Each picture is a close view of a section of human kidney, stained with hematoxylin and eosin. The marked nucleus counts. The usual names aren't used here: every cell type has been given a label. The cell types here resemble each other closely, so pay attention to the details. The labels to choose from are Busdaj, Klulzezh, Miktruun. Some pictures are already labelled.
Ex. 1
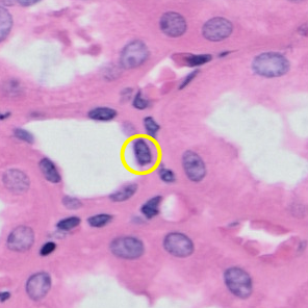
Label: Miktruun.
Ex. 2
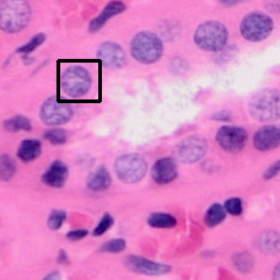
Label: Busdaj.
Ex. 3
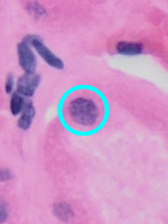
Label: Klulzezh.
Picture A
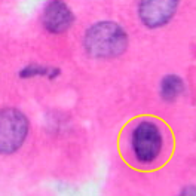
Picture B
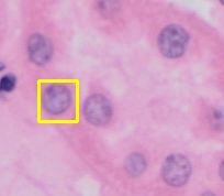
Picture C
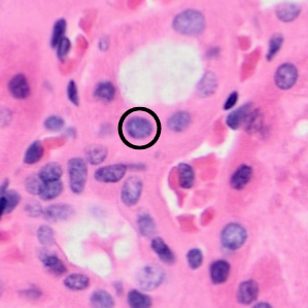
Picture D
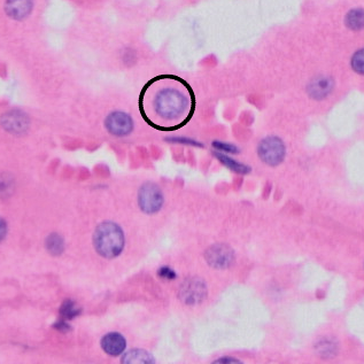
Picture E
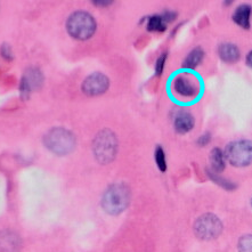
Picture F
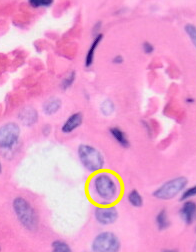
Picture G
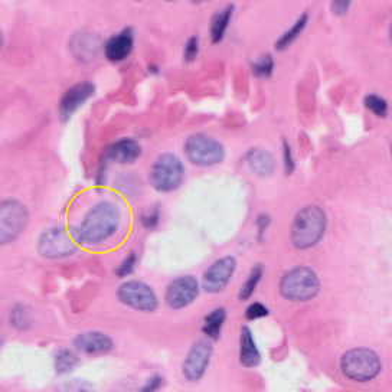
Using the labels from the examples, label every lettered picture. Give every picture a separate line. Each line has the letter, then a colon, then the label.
A: Klulzezh.
B: Klulzezh.
C: Miktruun.
D: Klulzezh.
E: Busdaj.
F: Busdaj.
G: Busdaj.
